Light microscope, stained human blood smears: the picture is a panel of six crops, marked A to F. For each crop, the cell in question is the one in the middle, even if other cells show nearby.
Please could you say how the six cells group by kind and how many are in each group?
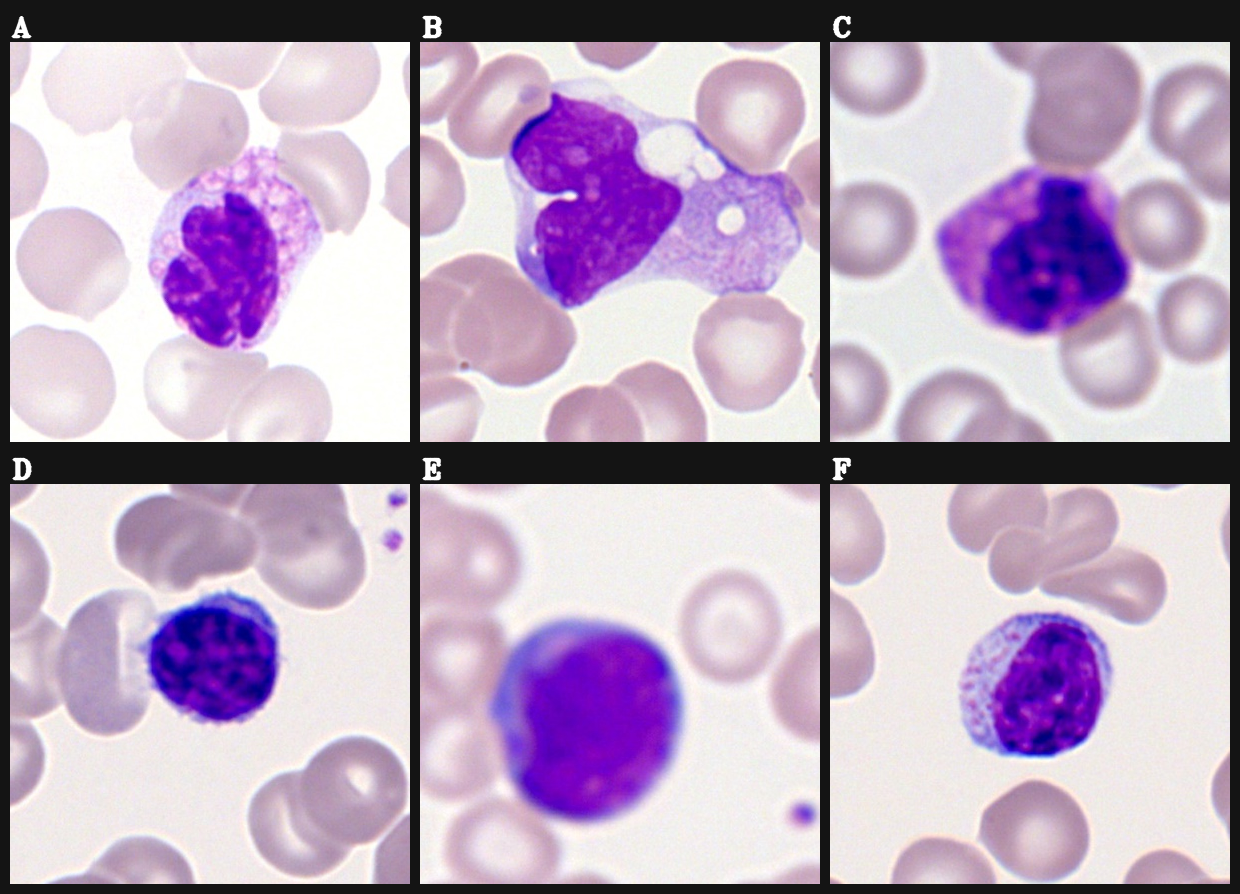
basophil: 2
lymphocyte: 2
monocyte: 1
myeloblast: 1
